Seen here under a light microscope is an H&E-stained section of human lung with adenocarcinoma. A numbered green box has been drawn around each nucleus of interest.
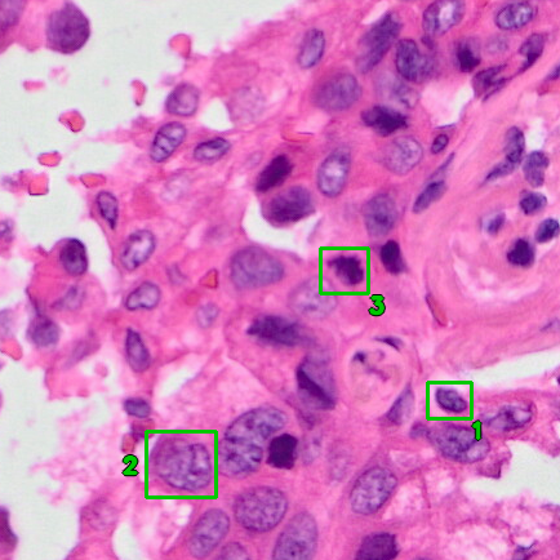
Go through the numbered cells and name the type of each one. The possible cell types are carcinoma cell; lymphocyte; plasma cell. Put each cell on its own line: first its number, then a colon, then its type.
1: lymphocyte
2: carcinoma cell
3: carcinoma cell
